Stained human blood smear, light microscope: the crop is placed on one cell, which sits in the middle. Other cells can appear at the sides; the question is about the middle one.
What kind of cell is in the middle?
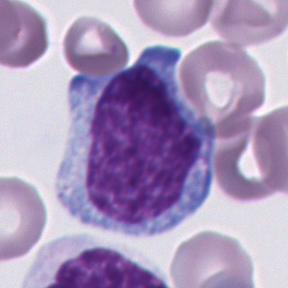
promyelocyte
